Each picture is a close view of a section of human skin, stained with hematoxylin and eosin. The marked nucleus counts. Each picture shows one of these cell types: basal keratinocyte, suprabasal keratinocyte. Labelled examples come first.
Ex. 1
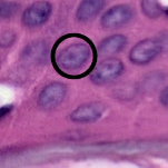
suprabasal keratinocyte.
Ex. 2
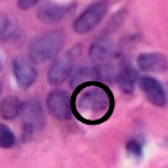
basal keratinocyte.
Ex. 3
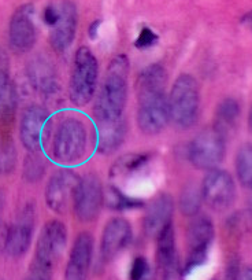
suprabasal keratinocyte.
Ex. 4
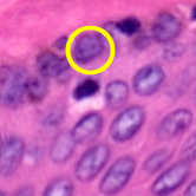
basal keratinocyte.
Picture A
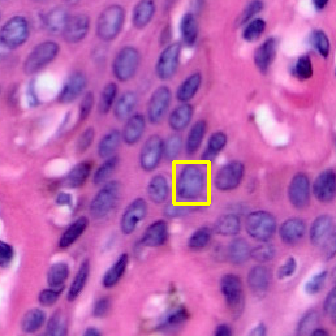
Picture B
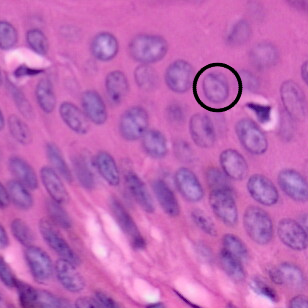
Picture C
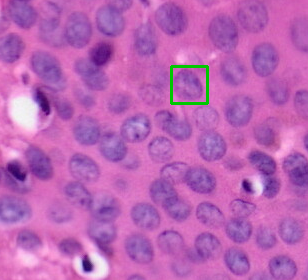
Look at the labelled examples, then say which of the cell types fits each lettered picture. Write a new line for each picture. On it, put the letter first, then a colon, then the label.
A: basal keratinocyte.
B: suprabasal keratinocyte.
C: suprabasal keratinocyte.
